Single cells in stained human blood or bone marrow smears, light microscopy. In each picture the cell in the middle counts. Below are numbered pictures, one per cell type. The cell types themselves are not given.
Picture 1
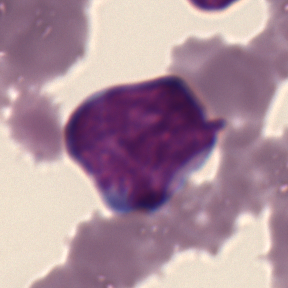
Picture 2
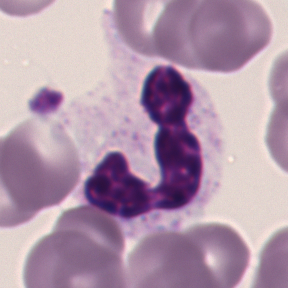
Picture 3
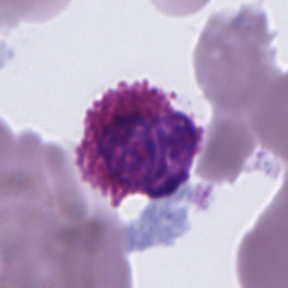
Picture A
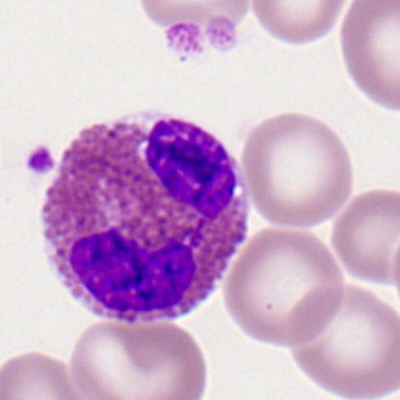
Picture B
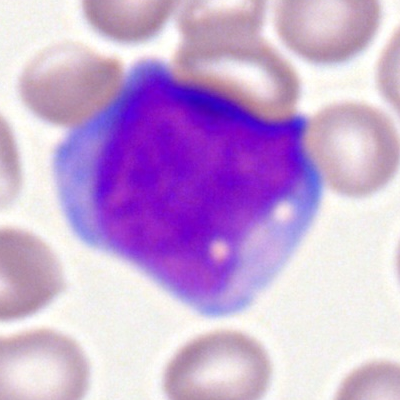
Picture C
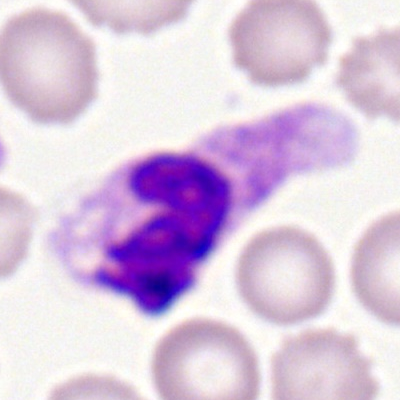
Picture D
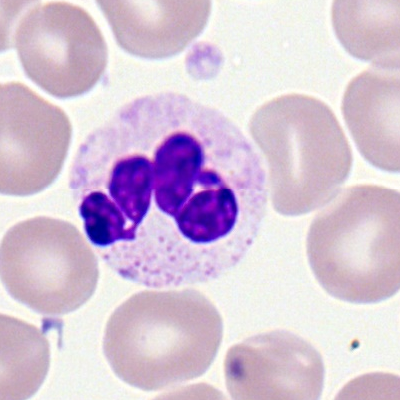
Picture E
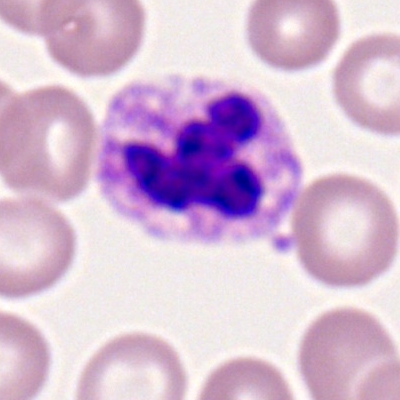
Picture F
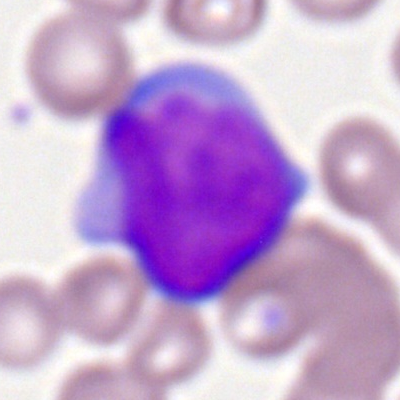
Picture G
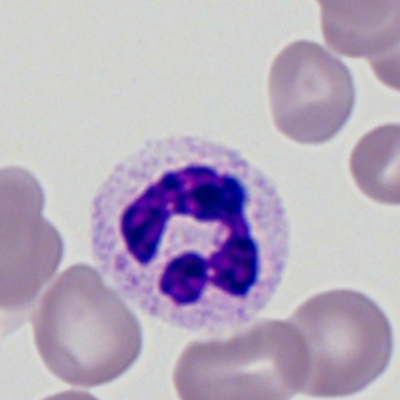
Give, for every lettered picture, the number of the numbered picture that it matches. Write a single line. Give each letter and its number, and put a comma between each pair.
A 3, B 1, C 2, D 2, E 2, F 1, G 2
